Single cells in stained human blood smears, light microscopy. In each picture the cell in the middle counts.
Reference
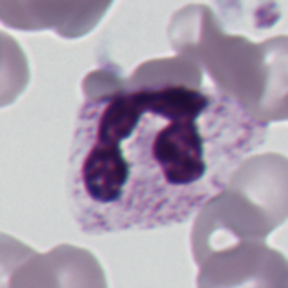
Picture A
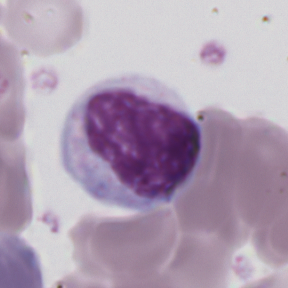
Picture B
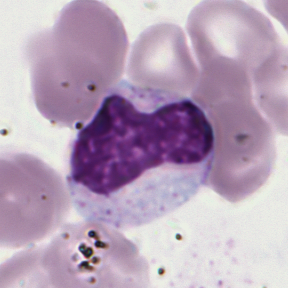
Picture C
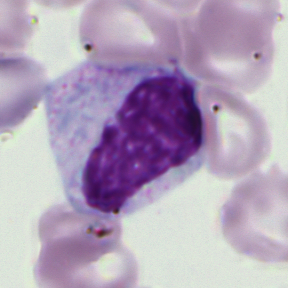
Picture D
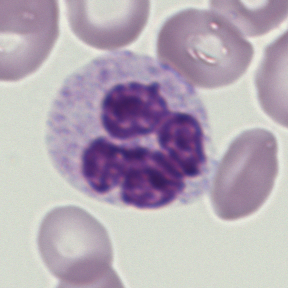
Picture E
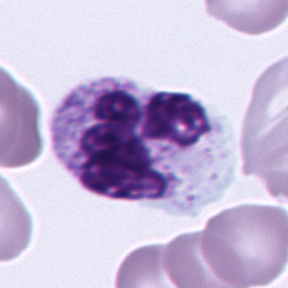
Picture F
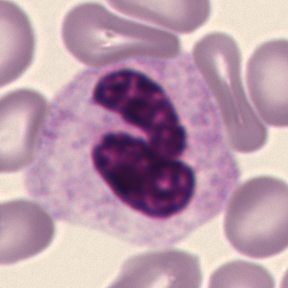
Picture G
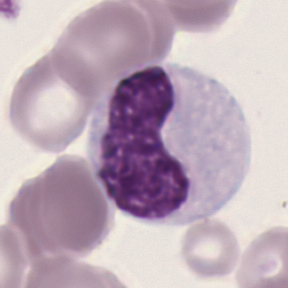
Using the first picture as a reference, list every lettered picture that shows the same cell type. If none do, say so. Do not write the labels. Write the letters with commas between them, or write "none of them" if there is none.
D, E, F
